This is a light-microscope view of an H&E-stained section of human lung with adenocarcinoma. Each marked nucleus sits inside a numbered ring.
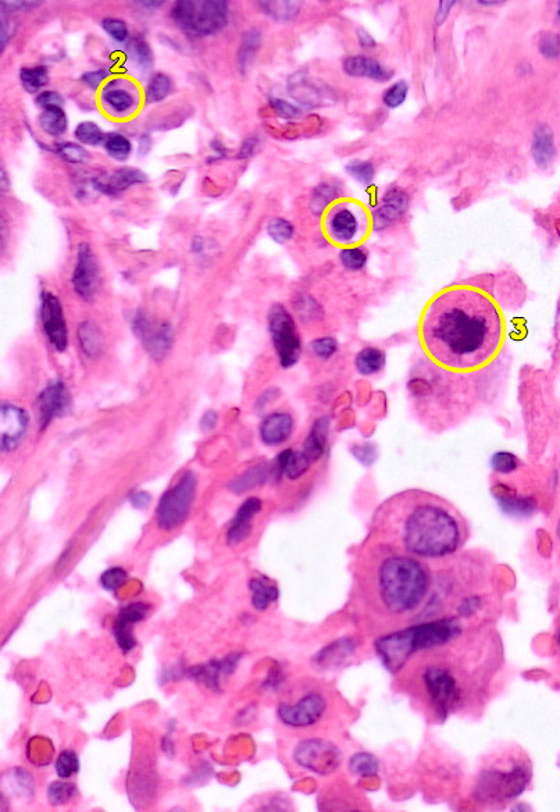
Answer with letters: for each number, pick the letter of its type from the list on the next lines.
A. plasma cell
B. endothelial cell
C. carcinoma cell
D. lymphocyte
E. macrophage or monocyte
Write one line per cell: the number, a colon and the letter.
1: D
2: D
3: C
